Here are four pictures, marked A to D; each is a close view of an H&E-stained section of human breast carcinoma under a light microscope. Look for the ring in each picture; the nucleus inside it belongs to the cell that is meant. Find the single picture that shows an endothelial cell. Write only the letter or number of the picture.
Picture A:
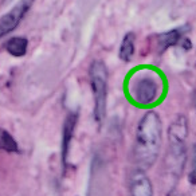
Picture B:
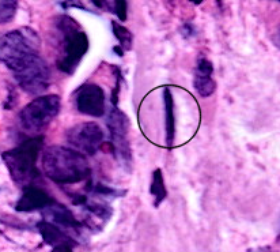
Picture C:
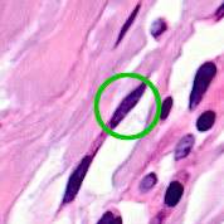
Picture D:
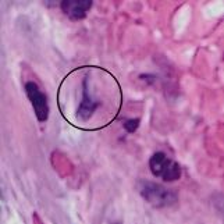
A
